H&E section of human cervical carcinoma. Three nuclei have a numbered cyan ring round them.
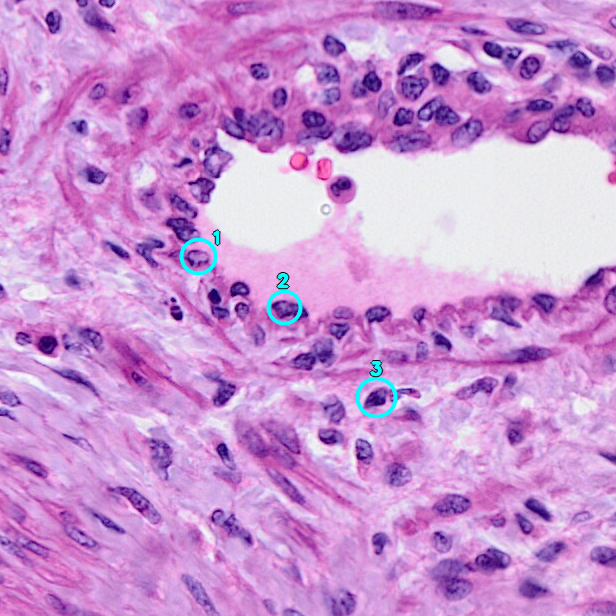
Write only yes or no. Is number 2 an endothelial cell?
yes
